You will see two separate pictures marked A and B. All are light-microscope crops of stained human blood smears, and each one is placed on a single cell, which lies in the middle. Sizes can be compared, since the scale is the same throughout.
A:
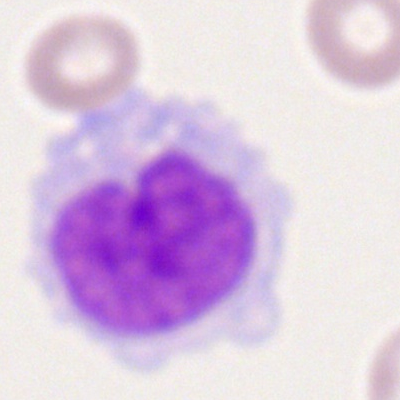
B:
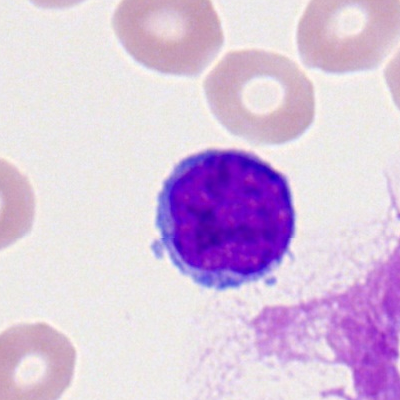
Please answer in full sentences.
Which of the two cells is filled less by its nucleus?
The nucleus fills less of the cell in picture A than in picture B.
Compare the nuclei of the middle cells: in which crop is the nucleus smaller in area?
It is the nucleus in picture B; the one in picture A has about 2 times its area.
